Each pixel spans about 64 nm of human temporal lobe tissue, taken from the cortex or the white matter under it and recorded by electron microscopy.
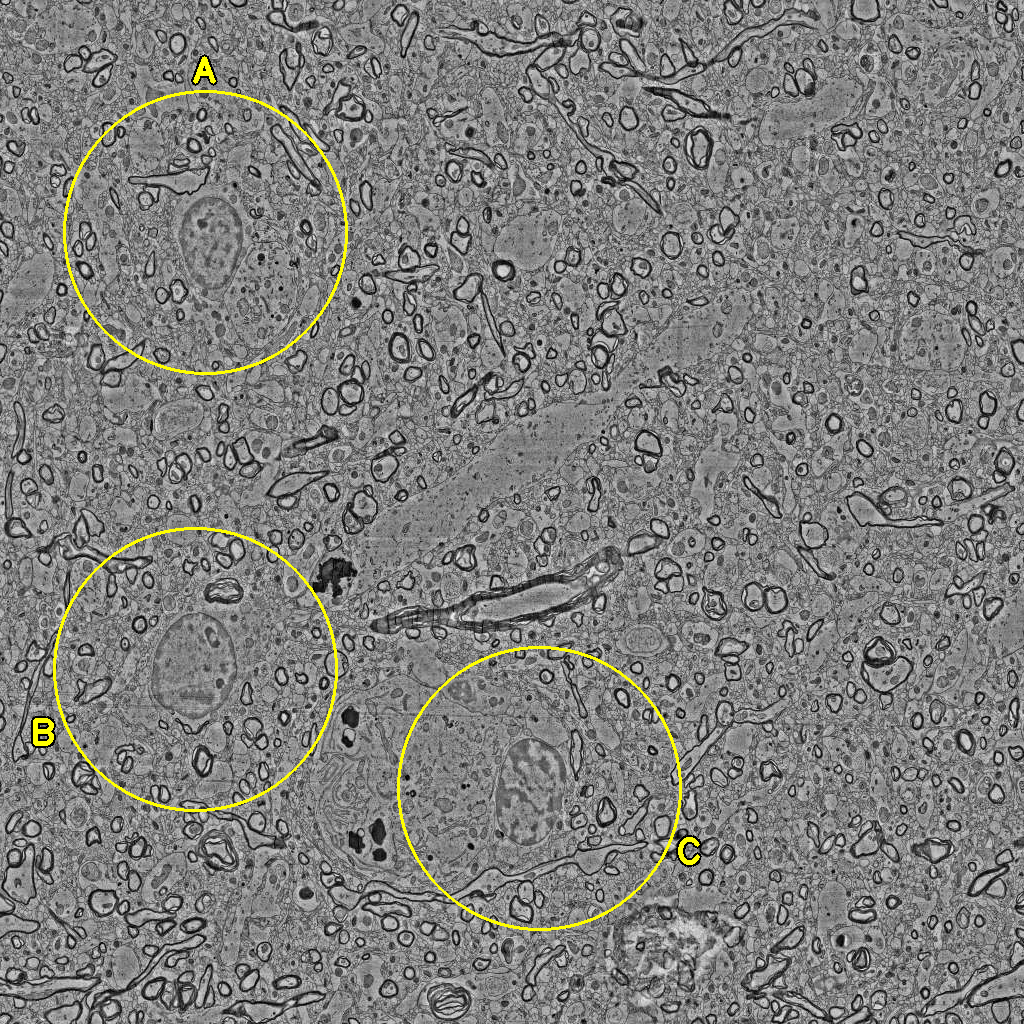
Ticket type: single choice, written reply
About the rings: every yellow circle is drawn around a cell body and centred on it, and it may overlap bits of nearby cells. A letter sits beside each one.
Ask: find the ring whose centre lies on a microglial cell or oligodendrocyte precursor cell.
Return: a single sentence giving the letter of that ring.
At the centre of the ring marked C lies the cell asked for.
